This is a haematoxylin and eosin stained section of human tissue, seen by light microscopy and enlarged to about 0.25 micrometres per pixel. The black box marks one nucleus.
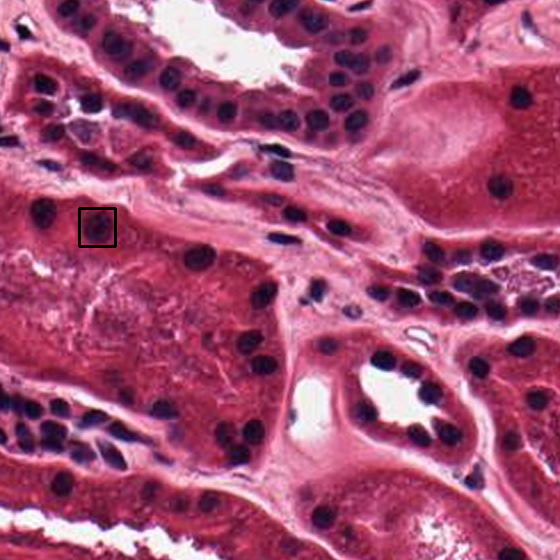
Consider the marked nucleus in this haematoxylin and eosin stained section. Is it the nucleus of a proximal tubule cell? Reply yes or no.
yes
